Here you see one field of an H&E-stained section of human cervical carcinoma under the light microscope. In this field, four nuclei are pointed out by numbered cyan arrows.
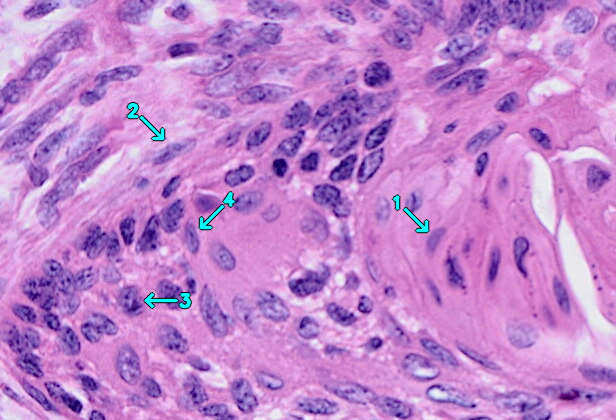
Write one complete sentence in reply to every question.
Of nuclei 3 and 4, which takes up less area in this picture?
Number 4 is smaller, since number 3 takes up about 1.5 times as much area.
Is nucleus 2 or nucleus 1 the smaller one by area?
Number 1 is smaller, since number 2 takes up about 2 times as much area.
